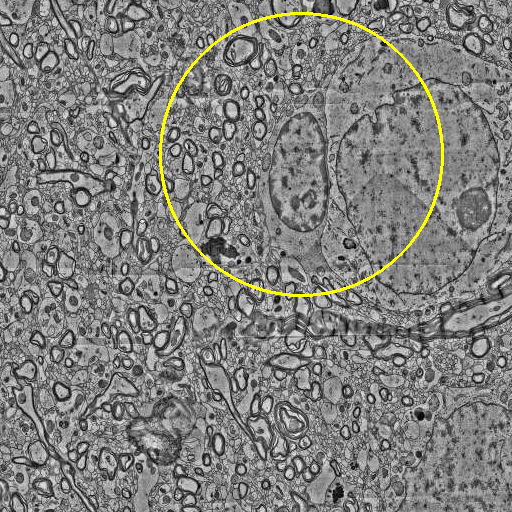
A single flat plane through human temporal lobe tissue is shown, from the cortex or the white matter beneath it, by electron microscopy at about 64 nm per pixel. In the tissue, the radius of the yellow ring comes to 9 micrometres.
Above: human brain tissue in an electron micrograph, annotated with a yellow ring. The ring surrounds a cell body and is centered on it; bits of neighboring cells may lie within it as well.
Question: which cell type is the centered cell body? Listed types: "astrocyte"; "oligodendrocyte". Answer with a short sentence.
The centered cell body is an oligodendrocyte.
